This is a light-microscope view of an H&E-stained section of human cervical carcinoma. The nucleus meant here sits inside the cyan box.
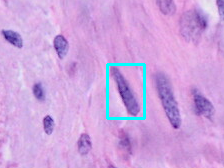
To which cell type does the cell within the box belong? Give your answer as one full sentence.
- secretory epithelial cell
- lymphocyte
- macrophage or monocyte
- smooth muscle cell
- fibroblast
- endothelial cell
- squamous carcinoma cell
The cell within the box appears to be a fibroblast.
